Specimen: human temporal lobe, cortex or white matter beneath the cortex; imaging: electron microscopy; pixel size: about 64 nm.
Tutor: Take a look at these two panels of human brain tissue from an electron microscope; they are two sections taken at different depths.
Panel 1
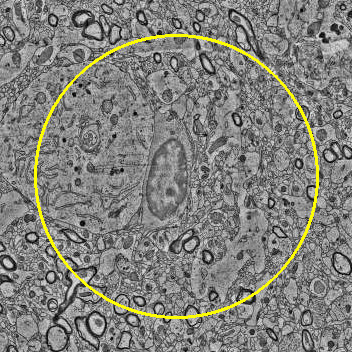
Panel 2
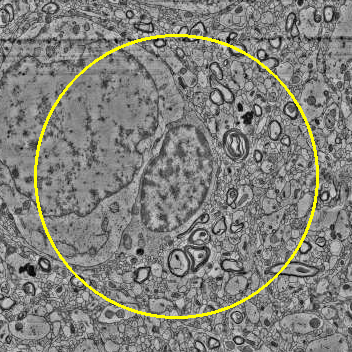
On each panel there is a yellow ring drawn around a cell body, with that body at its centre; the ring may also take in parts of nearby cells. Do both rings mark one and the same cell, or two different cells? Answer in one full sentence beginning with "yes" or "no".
No, two cells, not one, are marked by the yellow rings.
